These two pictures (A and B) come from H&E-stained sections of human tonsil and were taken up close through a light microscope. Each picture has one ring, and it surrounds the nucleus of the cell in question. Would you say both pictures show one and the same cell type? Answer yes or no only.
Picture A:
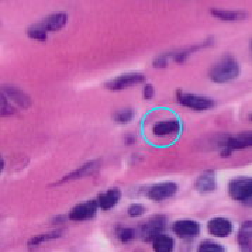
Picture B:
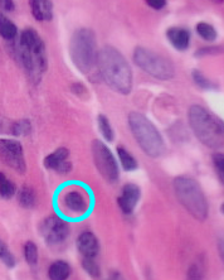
yes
